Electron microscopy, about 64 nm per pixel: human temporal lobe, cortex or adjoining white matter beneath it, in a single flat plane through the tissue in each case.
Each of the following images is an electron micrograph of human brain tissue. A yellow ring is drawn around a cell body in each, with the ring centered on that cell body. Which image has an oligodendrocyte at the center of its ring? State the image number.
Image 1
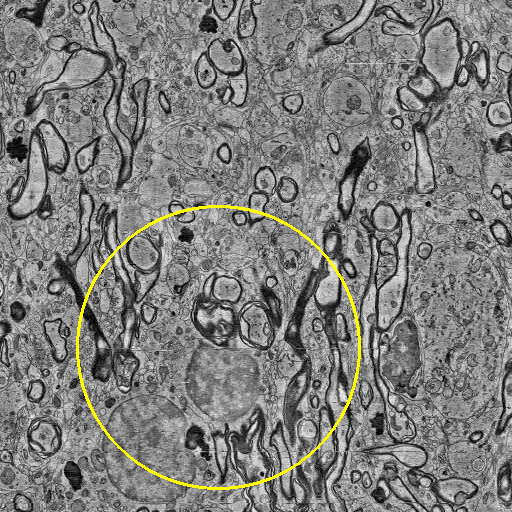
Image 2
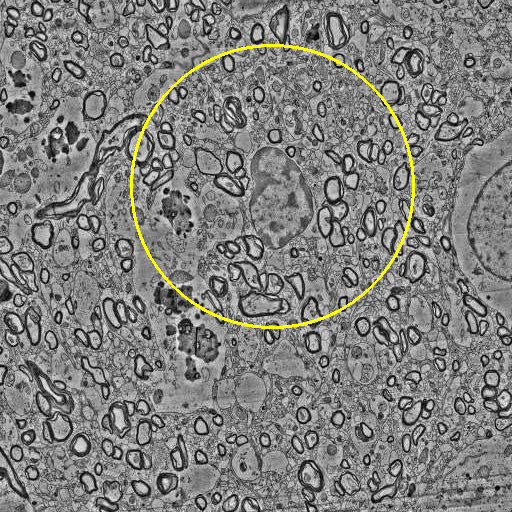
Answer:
1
